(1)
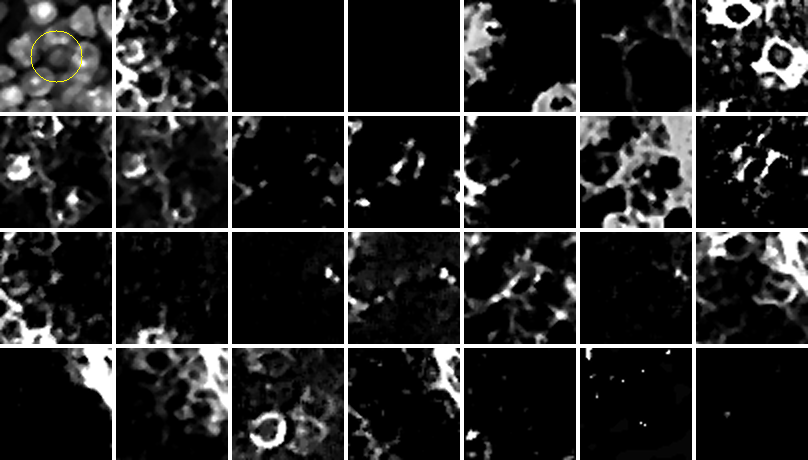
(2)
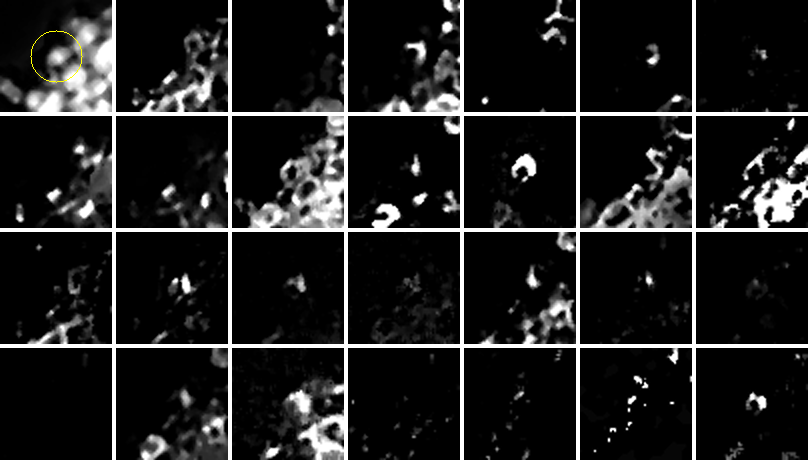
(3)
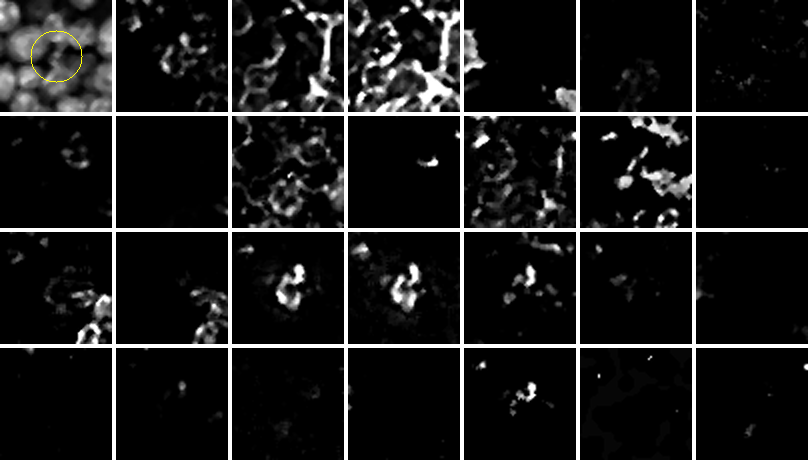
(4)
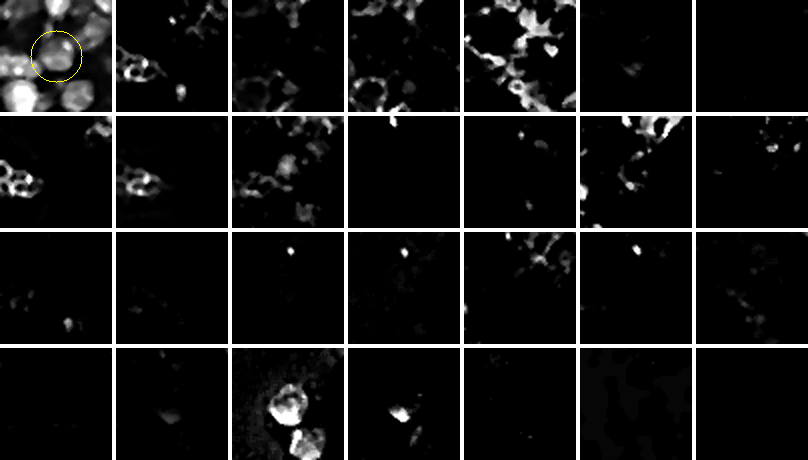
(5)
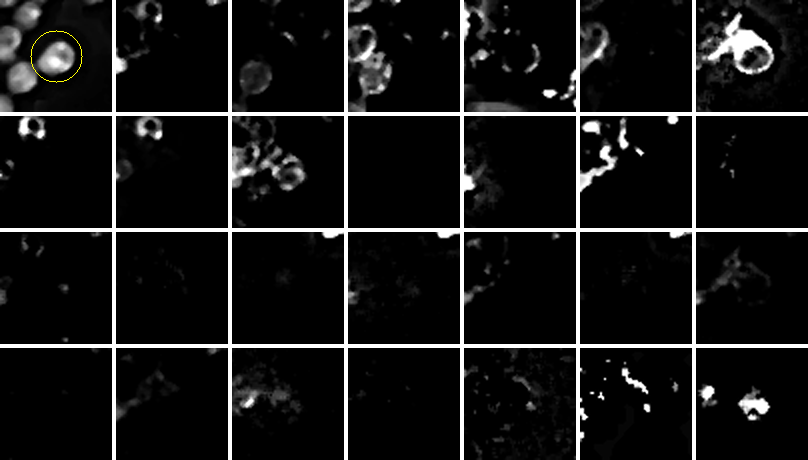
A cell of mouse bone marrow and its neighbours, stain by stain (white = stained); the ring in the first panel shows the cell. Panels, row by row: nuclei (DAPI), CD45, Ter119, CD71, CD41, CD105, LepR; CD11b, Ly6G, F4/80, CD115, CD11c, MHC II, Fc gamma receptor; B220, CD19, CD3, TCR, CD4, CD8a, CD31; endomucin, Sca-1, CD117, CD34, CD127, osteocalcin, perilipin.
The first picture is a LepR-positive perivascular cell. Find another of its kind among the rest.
Picture 5.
